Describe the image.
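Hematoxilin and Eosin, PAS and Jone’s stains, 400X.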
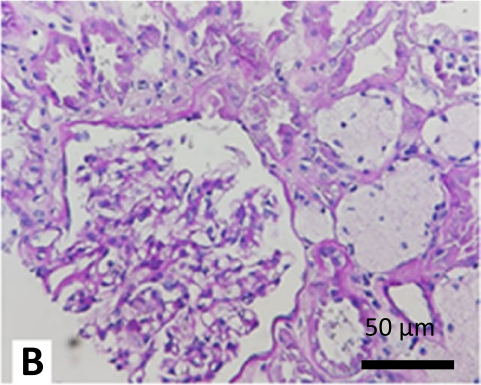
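Kidney tissue with a glomerulus on the left and, to the right, aggregates of foam cells in the interstitium. The glomerular tuft shows pink capillary loops with scattered blue nuclei inside a clear space bordered by a thin pink capsule. The foam cells form rounded clusters of large pale cells with finely vacuolated, bubbly cytoplasm and small dark nuclei, separated by pink strands.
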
